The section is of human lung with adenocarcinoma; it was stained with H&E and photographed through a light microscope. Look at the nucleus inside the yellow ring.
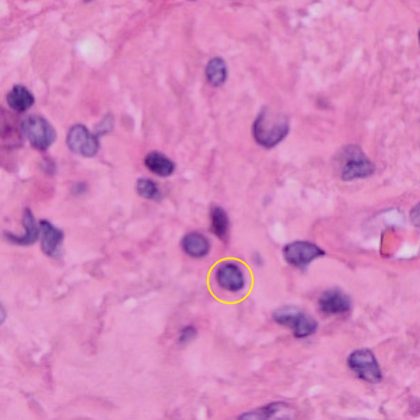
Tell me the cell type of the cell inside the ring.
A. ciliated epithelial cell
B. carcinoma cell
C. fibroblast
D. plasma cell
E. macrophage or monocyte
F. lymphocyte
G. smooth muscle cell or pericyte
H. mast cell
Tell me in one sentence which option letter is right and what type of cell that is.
Option H wins here: the cell inside the ring is a mast cell.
